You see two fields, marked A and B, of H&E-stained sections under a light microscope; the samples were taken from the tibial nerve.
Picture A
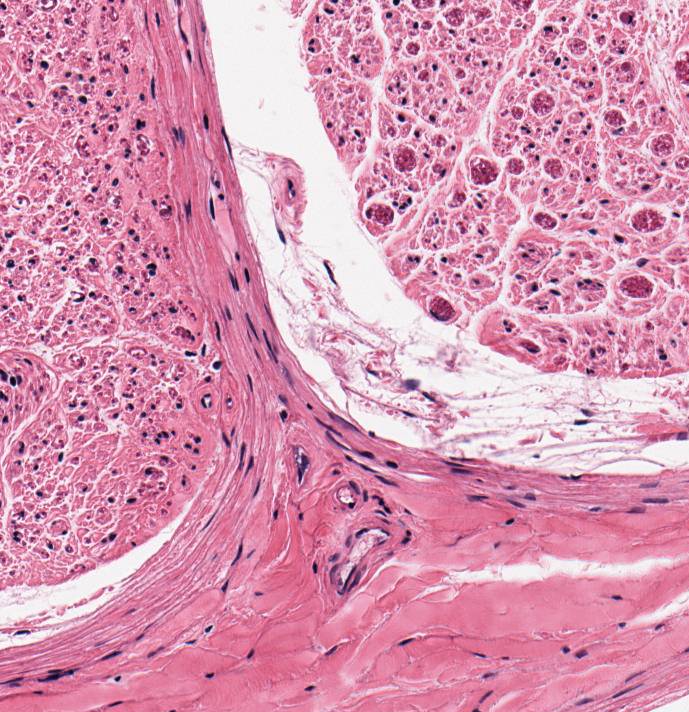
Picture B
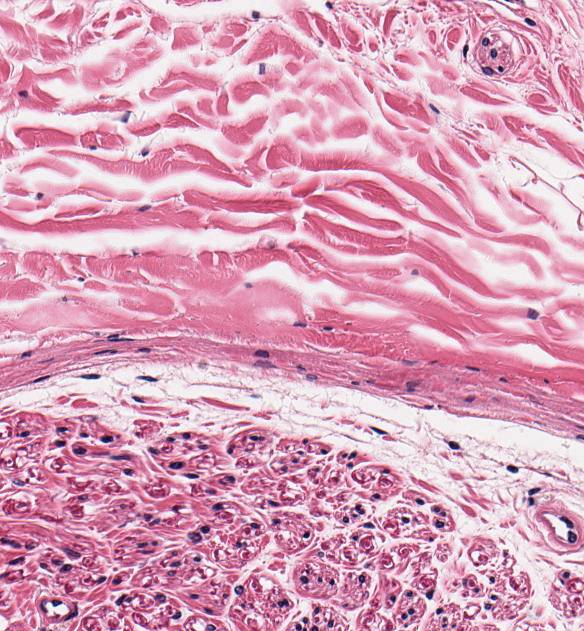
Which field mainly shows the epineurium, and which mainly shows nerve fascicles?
A: nerve fascicles
B: epineurium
